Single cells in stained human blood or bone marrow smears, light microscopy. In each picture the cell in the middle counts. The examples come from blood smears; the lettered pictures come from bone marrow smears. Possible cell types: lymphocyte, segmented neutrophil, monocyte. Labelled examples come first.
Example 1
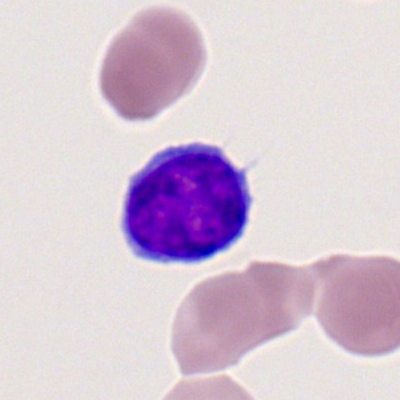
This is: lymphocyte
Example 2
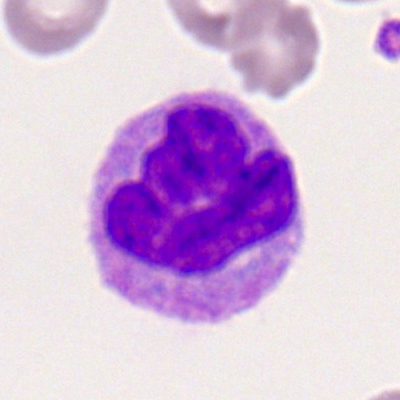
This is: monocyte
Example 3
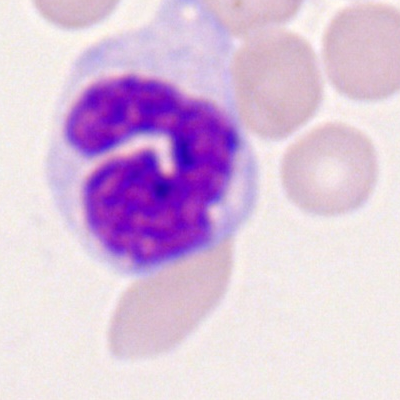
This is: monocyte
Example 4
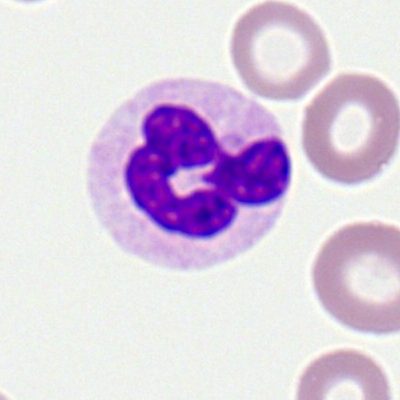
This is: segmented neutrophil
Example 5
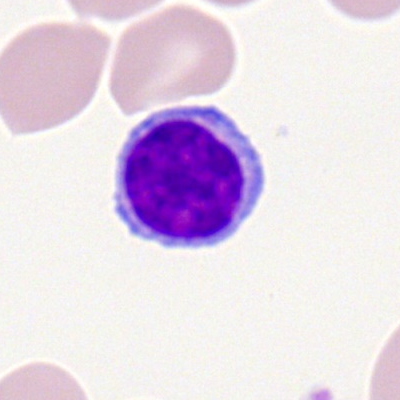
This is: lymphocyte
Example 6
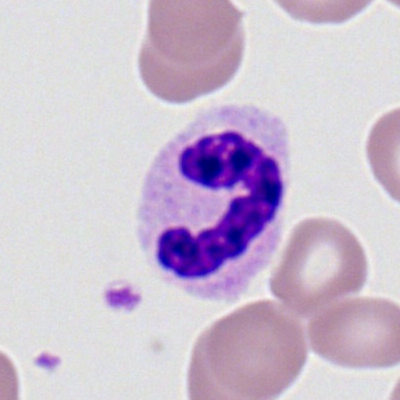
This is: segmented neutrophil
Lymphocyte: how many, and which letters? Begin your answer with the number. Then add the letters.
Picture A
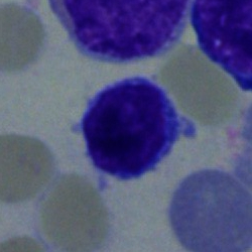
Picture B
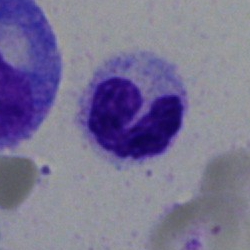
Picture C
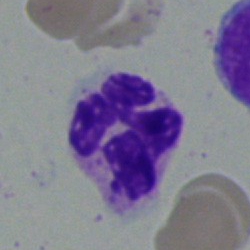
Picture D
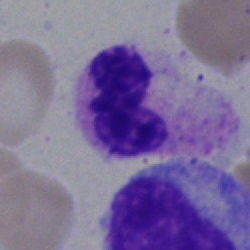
1, namely A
